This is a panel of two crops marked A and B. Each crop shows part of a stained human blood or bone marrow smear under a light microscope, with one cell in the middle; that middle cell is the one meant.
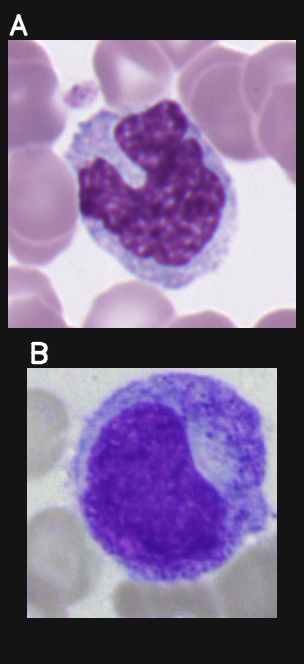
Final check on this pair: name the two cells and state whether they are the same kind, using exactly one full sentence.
No, the middle of crop A shows a monocyte, and the middle of crop B shows a promyelocyte.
